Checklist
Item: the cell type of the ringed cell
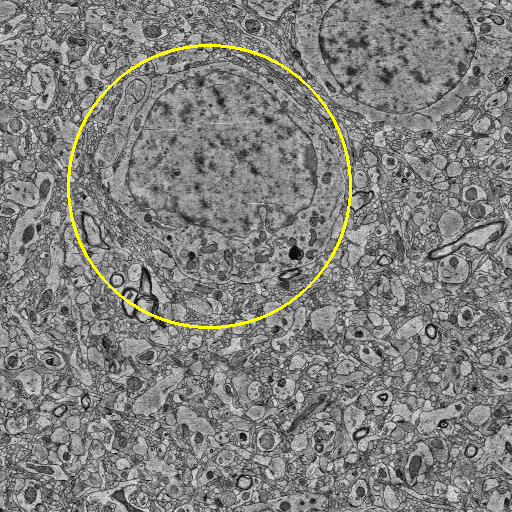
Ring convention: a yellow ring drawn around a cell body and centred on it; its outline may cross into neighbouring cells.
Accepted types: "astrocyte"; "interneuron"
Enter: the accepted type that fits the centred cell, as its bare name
interneuron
